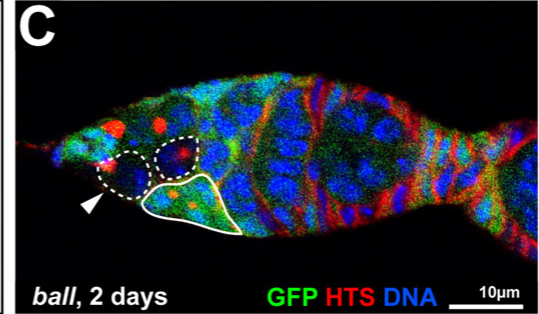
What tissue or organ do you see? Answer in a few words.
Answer: Germarium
